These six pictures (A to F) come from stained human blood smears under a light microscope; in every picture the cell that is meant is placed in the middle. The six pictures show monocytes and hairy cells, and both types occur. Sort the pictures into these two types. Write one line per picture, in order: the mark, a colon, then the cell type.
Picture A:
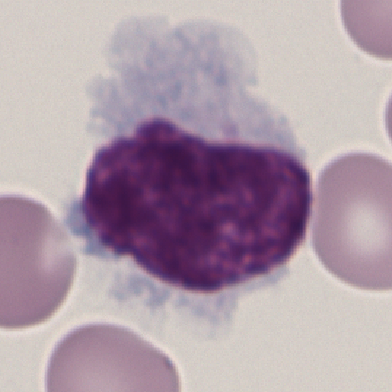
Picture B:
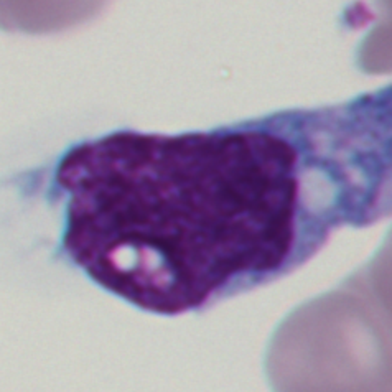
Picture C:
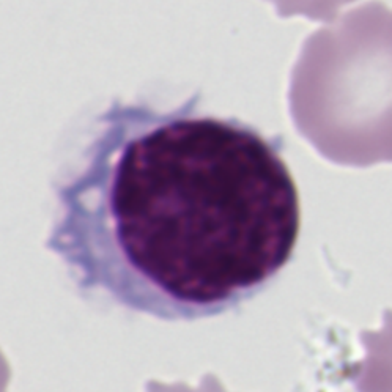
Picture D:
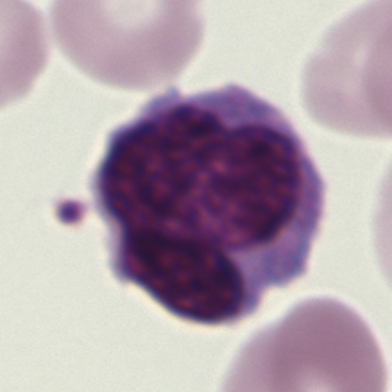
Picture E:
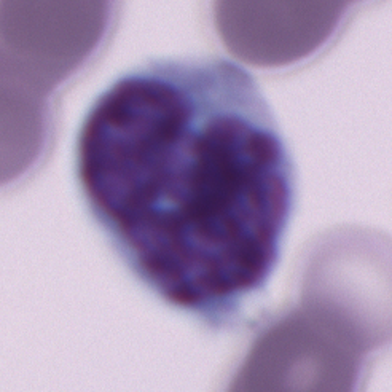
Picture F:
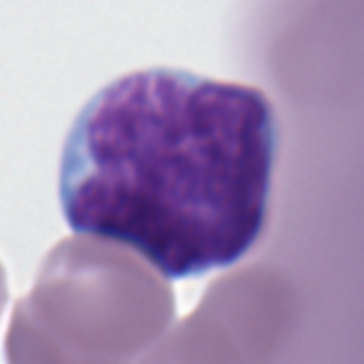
A: hairy cell
B: monocyte
C: hairy cell
D: monocyte
E: monocyte
F: monocyte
